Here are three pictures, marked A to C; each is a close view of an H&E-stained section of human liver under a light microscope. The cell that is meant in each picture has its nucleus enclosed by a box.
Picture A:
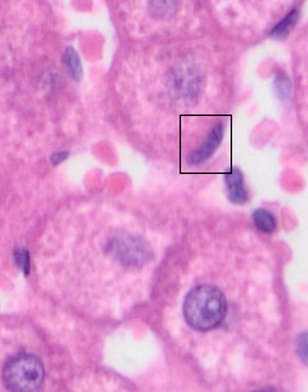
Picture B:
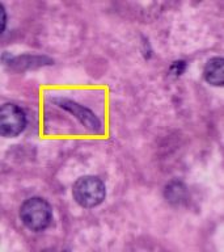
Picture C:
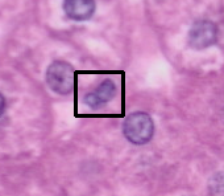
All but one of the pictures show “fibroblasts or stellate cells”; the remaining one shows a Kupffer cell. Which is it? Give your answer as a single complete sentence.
It is picture B that shows the Kupffer cell.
